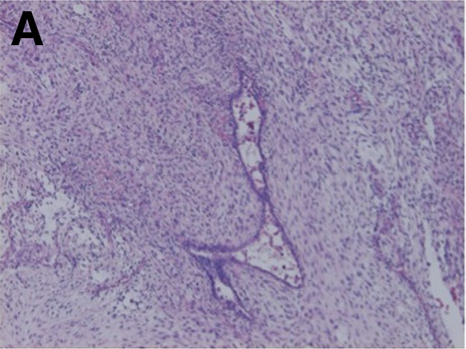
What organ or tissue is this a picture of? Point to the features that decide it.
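Phyllodes tumor. A slit-like, branching space lined by epithelium. Hypercellular spindle-cell stroma around the epithelial cleft.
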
